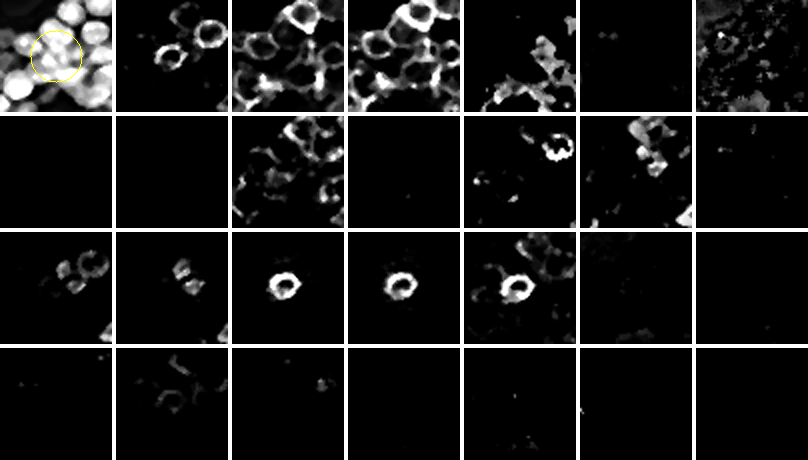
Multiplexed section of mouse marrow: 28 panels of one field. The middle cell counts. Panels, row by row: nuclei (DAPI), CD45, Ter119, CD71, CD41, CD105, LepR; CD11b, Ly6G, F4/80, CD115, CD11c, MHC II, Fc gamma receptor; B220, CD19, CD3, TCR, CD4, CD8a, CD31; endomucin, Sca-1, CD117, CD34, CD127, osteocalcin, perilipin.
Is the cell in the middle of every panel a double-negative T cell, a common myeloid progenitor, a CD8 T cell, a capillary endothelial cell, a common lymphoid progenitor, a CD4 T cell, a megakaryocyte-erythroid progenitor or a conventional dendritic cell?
It is a CD4 T cell.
